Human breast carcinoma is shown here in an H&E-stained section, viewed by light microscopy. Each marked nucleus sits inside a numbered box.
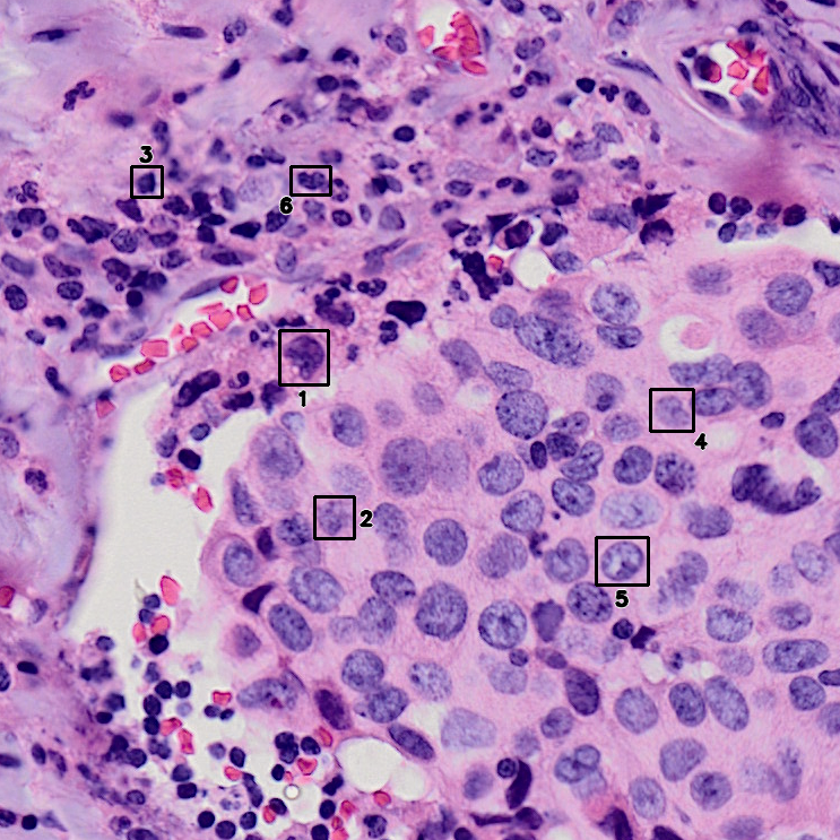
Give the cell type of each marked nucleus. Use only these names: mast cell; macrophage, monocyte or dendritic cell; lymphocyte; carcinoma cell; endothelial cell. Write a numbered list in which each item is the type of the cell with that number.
1. carcinoma cell
2. carcinoma cell
3. lymphocyte
4. carcinoma cell
5. carcinoma cell
6. lymphocyte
